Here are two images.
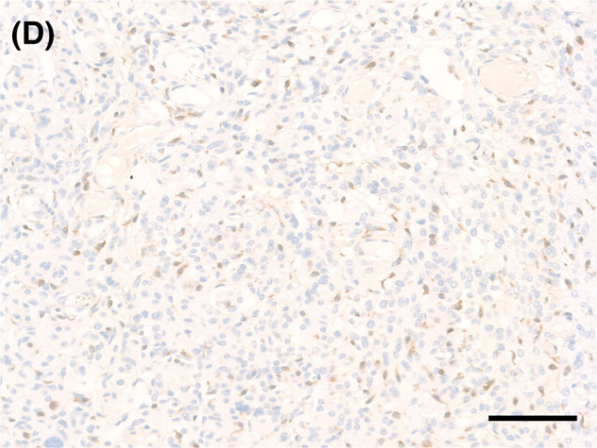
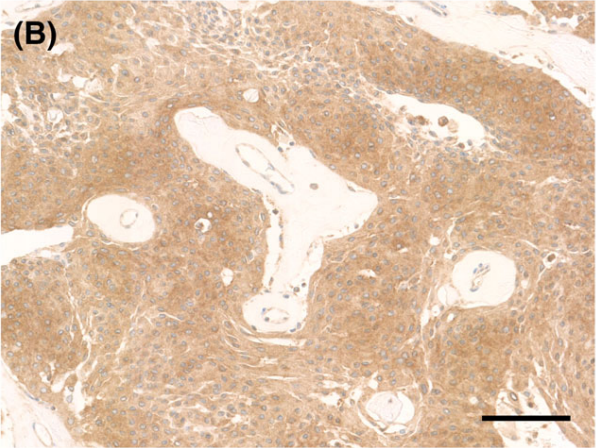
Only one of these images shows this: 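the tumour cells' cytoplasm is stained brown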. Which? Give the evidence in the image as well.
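First image: tumour cells have pale, unstained cytoplasm with blue nuclei. Second image: brown stain fills the cytoplasm of nearly all tumour cells. That points to this answer: the second image.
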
